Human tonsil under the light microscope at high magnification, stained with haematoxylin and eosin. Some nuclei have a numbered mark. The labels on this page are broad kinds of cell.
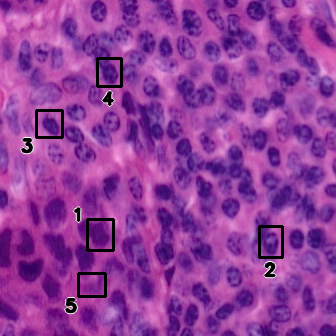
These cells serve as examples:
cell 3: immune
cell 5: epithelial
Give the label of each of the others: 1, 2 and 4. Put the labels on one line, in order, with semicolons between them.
epithelial; immune; immune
